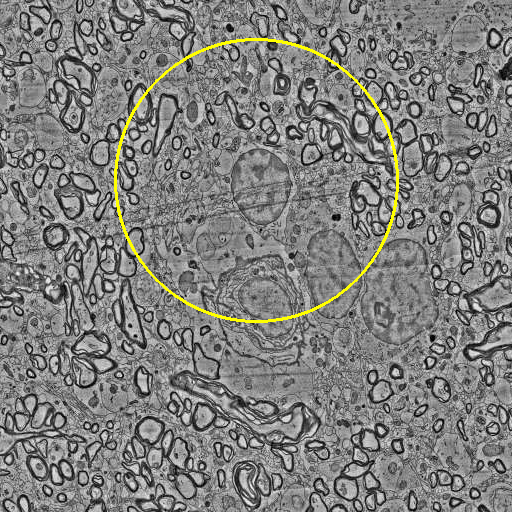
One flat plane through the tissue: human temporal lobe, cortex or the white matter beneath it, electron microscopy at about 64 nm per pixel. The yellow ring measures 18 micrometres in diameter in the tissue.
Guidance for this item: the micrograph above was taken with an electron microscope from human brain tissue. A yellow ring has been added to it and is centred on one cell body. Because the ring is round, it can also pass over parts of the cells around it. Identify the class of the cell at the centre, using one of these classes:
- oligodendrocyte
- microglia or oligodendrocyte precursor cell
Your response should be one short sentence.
The ring surrounds the body of a microglial cell or oligodendrocyte precursor cell.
